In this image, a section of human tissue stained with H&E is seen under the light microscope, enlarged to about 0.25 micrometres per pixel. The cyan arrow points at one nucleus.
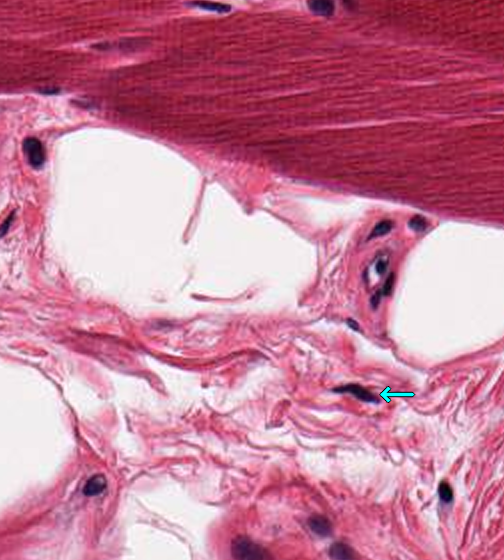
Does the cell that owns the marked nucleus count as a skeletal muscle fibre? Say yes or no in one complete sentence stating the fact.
No, the marked nucleus belongs to a supporting cell, not to a skeletal muscle fibre.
